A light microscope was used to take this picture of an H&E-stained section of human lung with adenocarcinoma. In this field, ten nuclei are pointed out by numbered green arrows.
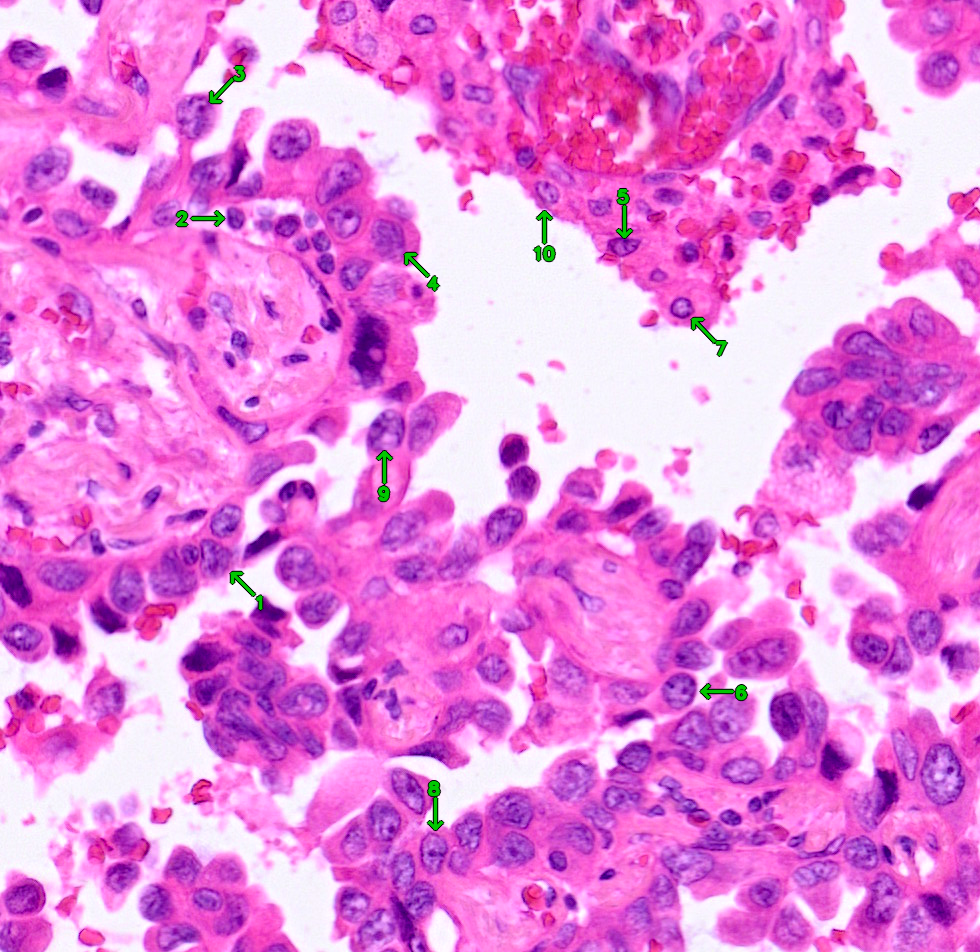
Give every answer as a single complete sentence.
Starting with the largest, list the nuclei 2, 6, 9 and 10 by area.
From largest to smallest, the order is 9, 6, 10, 2.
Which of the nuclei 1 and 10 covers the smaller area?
Nucleus 10 covers less area, with nucleus 1 about 2 times as large.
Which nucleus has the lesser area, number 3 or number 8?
The smaller nucleus is 8, and 3 covers roughly 1.5 times its area.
